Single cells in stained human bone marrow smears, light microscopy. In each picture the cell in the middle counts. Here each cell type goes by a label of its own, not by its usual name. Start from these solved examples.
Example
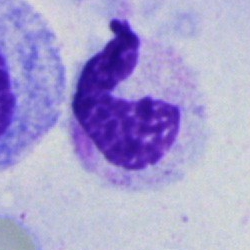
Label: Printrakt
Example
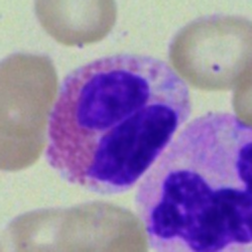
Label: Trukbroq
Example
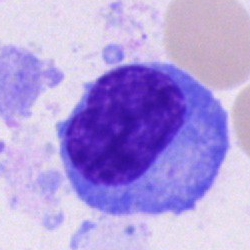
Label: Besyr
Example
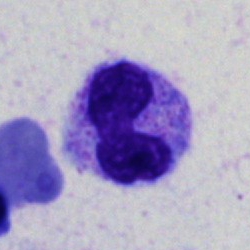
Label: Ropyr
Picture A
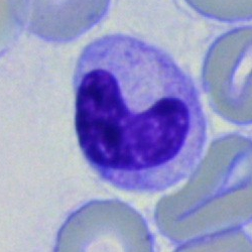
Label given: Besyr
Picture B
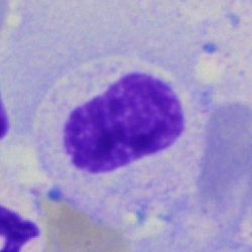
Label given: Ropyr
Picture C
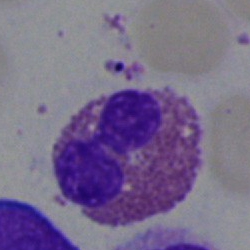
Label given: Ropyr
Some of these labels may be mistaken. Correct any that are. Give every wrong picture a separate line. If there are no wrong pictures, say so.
A: change Besyr to Ropyr
C: change Ropyr to Trukbroq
